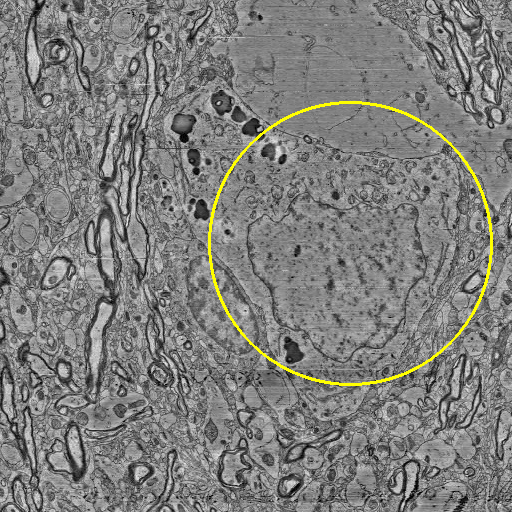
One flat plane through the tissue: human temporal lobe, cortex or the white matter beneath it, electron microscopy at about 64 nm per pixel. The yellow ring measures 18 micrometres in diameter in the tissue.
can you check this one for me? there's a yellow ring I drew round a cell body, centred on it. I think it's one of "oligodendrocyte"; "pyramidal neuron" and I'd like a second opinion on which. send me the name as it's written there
pyramidal neuron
